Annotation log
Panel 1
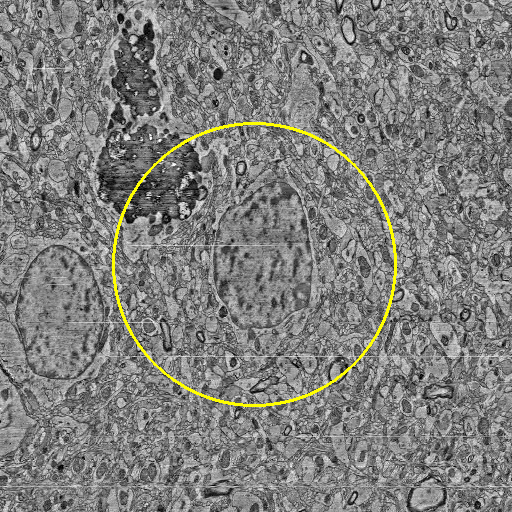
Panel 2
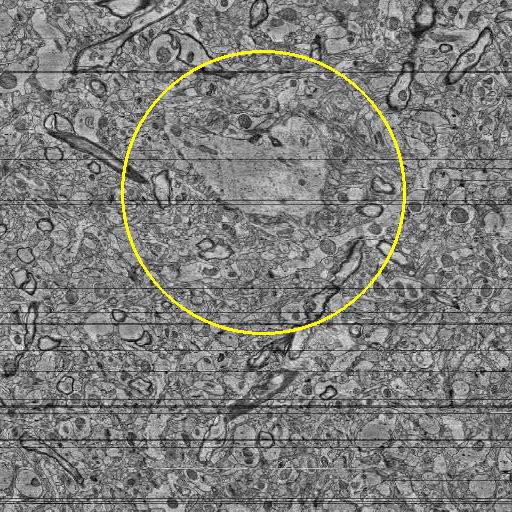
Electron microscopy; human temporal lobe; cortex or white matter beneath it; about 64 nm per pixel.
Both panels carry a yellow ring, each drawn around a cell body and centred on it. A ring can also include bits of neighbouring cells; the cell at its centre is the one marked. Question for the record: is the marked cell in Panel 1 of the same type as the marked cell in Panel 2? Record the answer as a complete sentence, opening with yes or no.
Yes, the marked cells in Panel 1 and Panel 2 are of the same type.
